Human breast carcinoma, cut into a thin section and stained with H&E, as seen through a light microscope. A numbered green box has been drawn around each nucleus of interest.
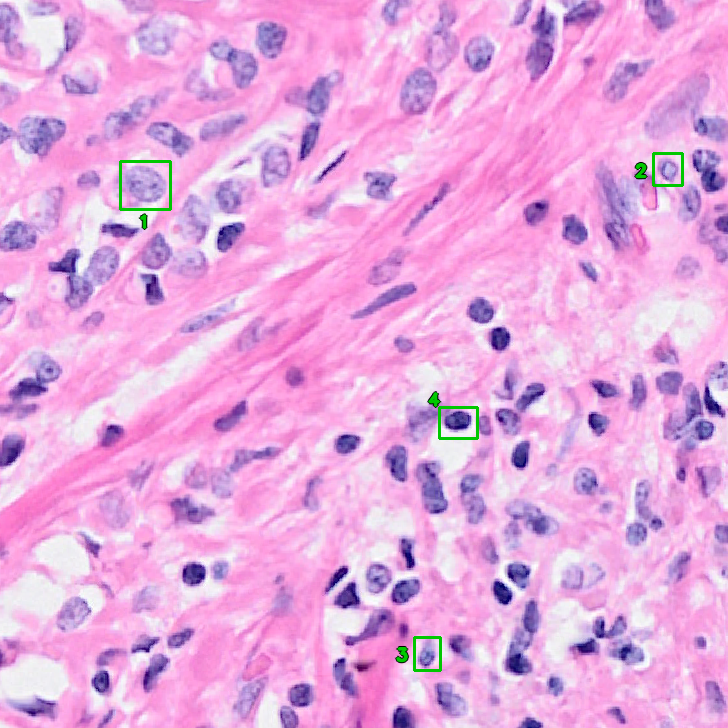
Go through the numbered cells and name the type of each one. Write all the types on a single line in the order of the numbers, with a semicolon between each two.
carcinoma cell; endothelial cell; lymphocyte; lymphocyte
